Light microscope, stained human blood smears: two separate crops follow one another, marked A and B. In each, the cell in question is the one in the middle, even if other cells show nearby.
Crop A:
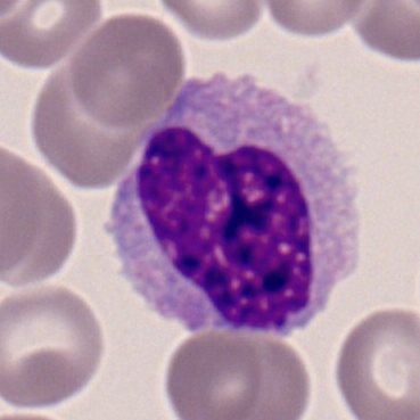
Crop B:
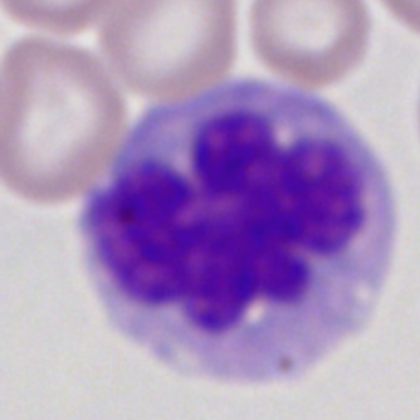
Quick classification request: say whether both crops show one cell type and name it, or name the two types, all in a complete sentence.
Yes, both crops have monocytes at the centre.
